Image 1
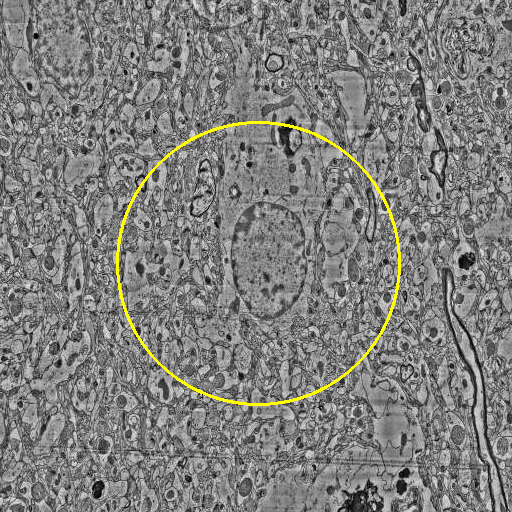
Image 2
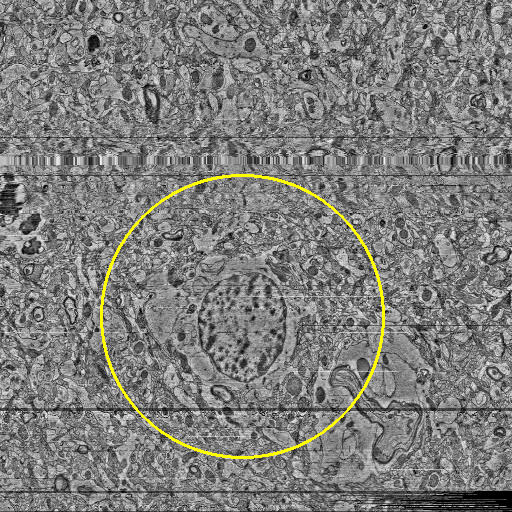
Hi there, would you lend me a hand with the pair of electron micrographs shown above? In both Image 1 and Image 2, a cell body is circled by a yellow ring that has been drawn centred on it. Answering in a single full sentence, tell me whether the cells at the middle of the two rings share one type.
Yes, the ringed cells in Image 1 and Image 2 share one type.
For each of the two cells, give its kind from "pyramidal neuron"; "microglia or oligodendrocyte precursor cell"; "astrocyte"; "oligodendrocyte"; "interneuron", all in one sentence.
Both cells are the same kind, each one being an astrocyte.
